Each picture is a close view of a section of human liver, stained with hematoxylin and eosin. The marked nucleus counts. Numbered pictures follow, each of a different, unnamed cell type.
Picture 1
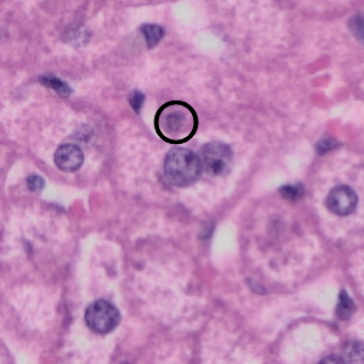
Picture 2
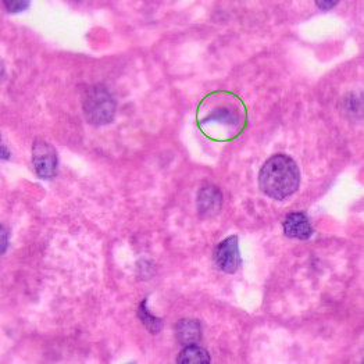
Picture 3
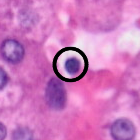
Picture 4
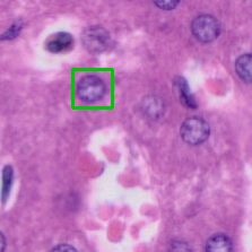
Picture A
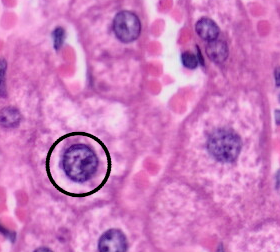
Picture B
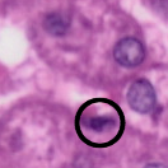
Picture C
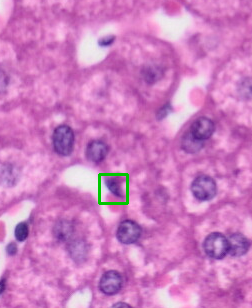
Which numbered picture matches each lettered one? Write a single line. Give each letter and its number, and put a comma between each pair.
A 4, B 2, C 2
